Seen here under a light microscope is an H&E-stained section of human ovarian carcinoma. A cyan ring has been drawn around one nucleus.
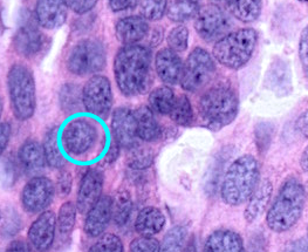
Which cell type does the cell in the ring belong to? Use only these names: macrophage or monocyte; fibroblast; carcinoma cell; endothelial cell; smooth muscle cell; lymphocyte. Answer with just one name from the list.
carcinoma cell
